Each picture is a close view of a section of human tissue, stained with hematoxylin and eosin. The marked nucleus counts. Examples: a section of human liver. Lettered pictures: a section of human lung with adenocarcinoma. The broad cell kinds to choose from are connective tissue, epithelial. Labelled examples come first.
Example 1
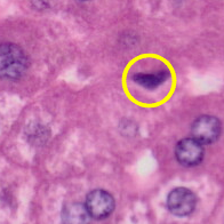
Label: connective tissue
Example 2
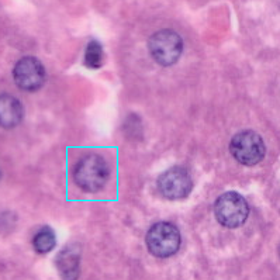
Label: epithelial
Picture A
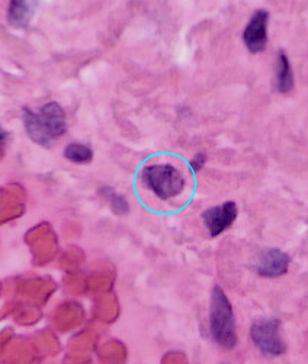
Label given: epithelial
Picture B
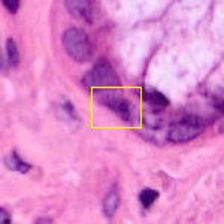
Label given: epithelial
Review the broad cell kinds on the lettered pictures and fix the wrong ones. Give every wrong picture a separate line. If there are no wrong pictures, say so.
A should be connective tissue, not epithelial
